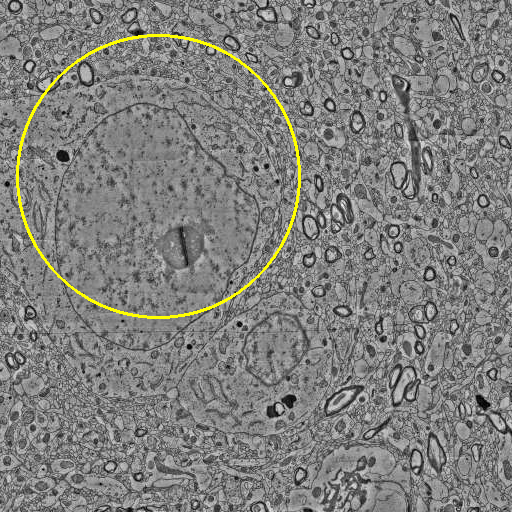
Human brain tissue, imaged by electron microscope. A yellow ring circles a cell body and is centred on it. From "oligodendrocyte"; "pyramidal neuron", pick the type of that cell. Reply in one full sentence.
The cell body at the centre of the yellow ring belongs to a pyramidal neuron.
